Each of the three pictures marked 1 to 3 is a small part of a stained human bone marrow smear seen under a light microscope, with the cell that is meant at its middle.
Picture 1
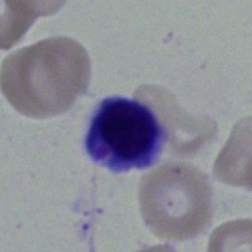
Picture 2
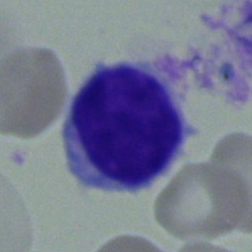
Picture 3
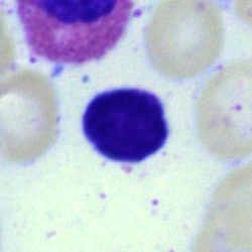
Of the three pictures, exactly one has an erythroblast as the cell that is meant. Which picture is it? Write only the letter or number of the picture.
1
